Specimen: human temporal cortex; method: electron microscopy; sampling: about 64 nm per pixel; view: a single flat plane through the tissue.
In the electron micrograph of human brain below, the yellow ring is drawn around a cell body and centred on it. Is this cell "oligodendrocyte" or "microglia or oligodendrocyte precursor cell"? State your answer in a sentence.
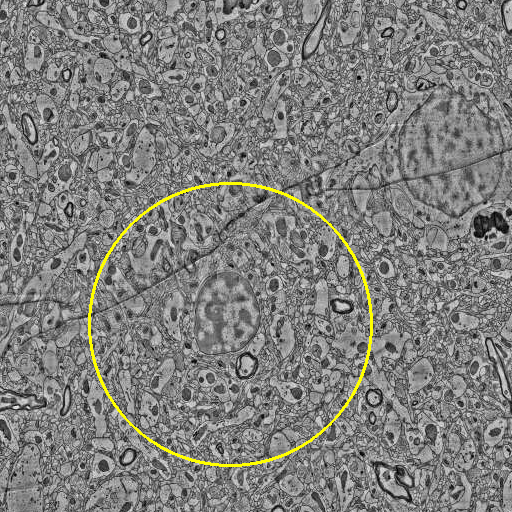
The cell in the middle of the ring is a microglial cell or oligodendrocyte precursor cell.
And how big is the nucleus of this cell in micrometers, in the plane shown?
In this plane, roughly 5 by 4 micrometres.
